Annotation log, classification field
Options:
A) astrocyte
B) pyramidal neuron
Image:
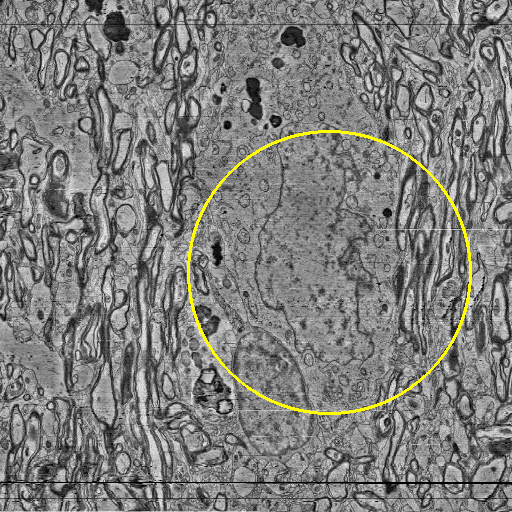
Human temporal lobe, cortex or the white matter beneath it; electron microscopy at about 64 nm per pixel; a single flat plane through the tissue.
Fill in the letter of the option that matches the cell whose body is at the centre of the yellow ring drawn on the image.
B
